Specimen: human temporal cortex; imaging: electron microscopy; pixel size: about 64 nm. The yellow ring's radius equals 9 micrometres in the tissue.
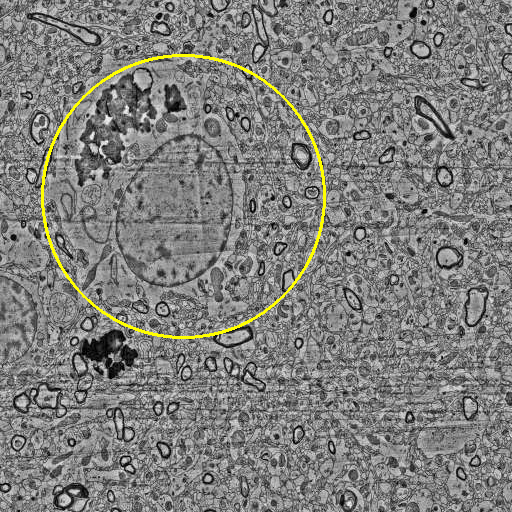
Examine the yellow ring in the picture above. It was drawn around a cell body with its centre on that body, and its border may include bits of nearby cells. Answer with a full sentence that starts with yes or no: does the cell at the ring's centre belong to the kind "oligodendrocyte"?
No, the cell at the heart of the ring shown in the image is a different kind of cell.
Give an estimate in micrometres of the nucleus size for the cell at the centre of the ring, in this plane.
In this plane, approximately 10 by 7 micrometers.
